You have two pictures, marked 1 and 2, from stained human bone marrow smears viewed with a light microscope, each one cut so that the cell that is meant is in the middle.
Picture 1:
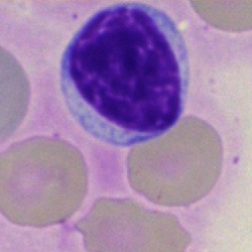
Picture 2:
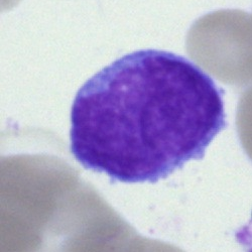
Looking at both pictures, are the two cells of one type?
no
